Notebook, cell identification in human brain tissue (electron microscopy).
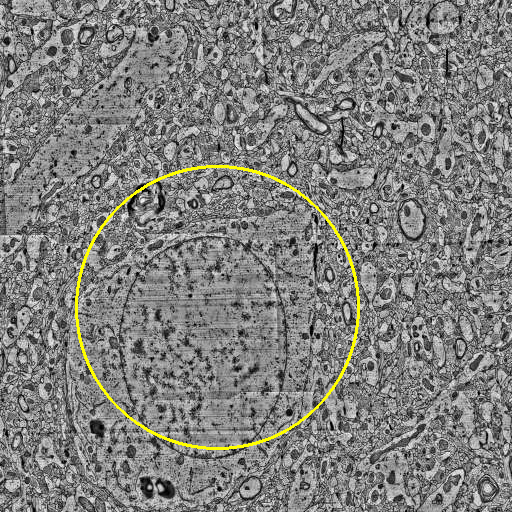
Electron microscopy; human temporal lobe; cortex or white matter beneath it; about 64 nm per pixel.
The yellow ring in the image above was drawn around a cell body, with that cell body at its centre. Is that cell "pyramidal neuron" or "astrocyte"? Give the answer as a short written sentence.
The cell in the ring is a pyramidal neuron.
